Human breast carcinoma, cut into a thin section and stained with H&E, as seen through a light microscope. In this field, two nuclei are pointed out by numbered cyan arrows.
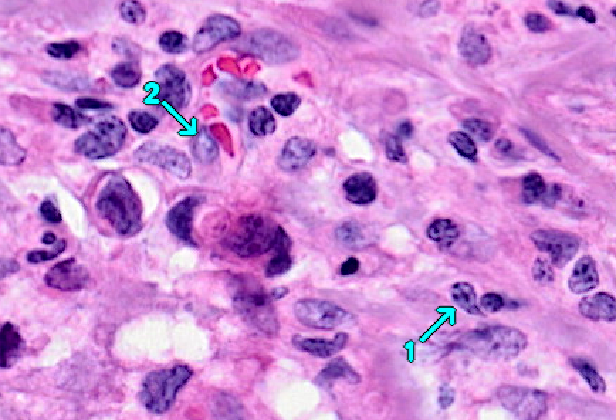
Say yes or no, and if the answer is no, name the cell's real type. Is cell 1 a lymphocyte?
Yes.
